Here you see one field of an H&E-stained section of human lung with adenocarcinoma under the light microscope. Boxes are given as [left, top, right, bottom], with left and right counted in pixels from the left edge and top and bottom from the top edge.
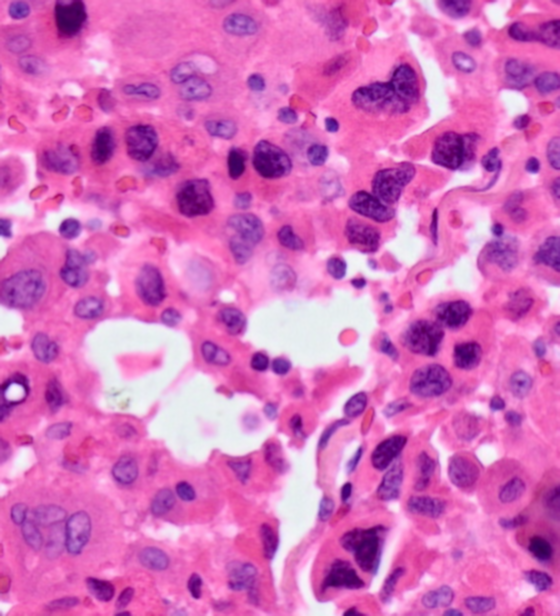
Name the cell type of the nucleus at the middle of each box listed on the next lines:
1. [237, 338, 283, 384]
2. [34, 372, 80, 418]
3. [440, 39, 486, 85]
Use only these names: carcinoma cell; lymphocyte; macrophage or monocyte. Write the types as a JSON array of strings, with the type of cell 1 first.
["lymphocyte", "carcinoma cell", "macrophage or monocyte"]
